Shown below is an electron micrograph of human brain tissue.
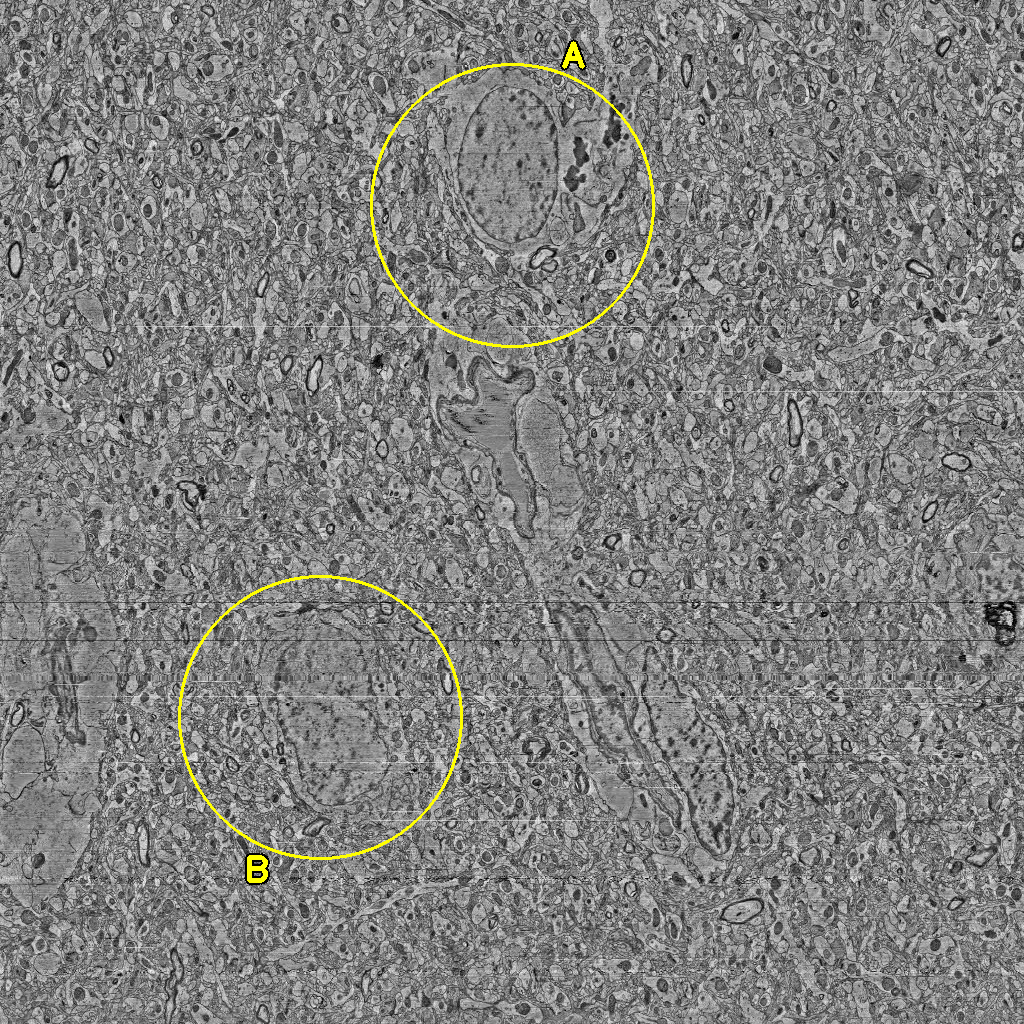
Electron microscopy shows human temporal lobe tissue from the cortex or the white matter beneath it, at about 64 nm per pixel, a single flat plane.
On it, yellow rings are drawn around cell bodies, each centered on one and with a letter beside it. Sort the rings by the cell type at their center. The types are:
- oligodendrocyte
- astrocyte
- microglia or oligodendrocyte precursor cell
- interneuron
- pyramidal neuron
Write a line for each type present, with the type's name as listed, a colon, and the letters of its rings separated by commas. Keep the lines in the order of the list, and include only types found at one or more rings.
astrocyte: A
interneuron: B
